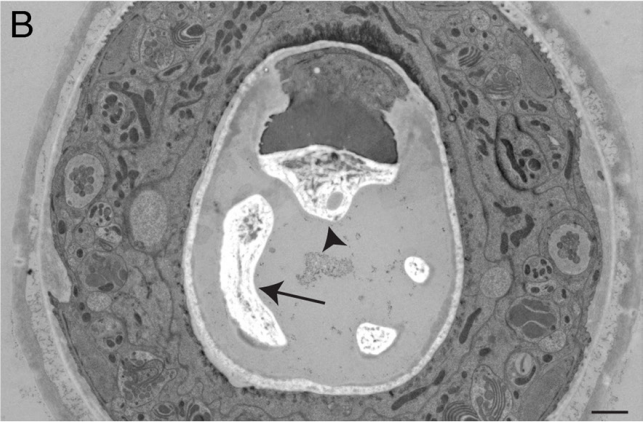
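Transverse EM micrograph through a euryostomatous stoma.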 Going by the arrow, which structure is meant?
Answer: subventral tooth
